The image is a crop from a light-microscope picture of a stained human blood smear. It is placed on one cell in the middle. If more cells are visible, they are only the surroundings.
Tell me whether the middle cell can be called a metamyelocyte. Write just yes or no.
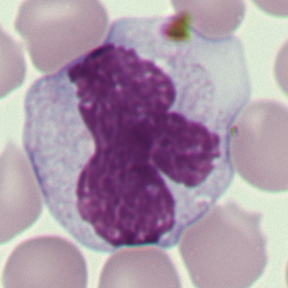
no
